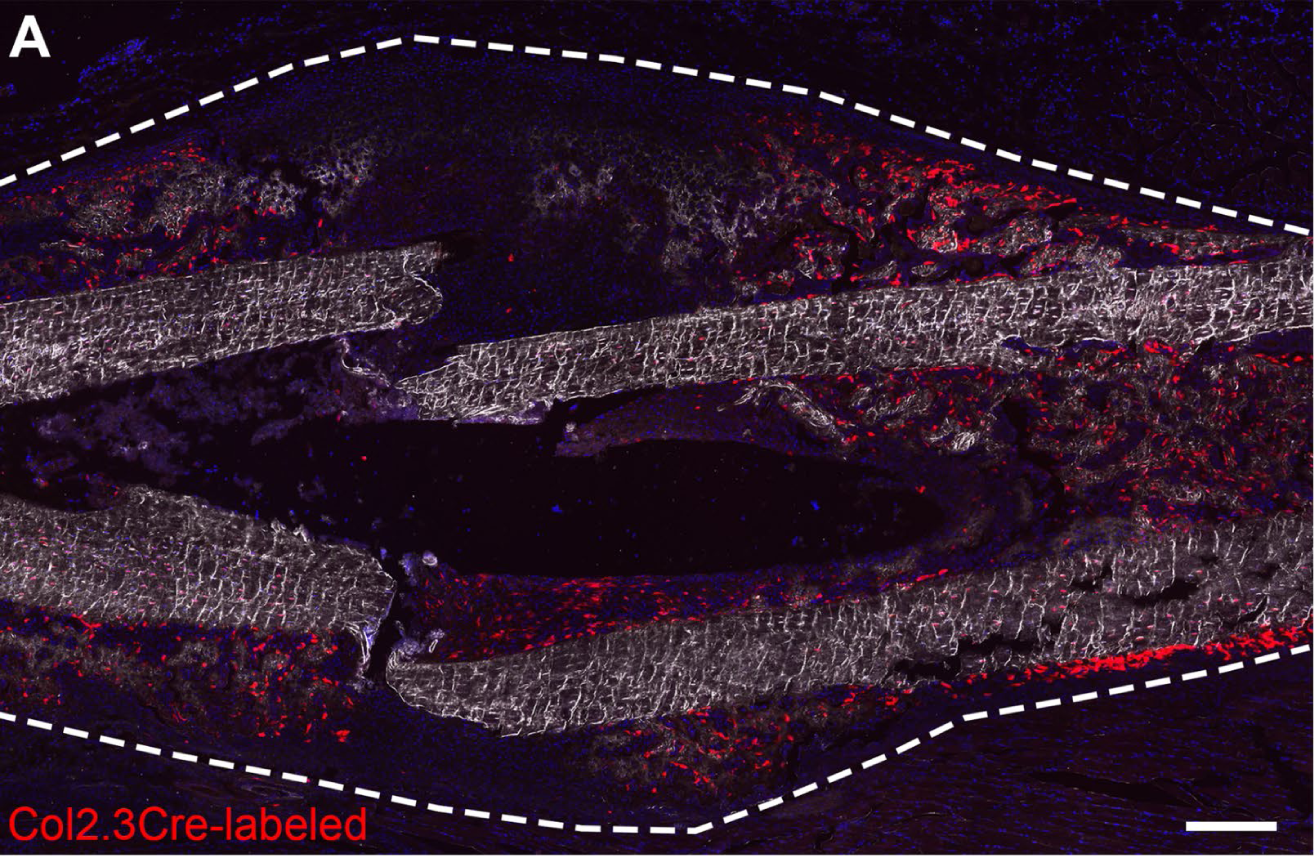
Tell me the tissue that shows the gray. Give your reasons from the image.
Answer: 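Long gray-white bands with a textured lamellar pattern run across the panel. The gray bands are broken and displaced in the middle. So: Mineralized bone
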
